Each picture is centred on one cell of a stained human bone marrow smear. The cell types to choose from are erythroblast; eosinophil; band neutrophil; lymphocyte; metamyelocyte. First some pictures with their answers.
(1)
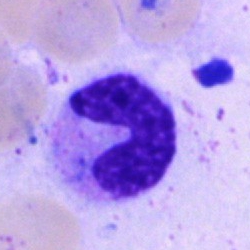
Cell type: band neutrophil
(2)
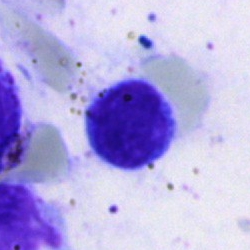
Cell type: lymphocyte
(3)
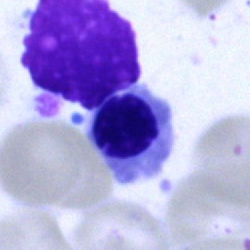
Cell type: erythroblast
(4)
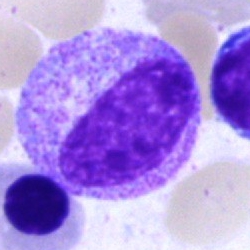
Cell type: metamyelocyte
